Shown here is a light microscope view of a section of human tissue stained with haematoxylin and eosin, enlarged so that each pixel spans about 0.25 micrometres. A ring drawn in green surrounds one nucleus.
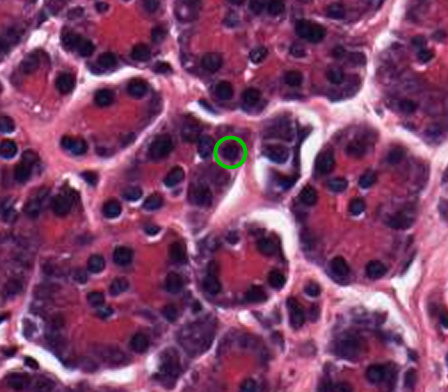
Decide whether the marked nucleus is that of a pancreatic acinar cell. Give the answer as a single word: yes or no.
yes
